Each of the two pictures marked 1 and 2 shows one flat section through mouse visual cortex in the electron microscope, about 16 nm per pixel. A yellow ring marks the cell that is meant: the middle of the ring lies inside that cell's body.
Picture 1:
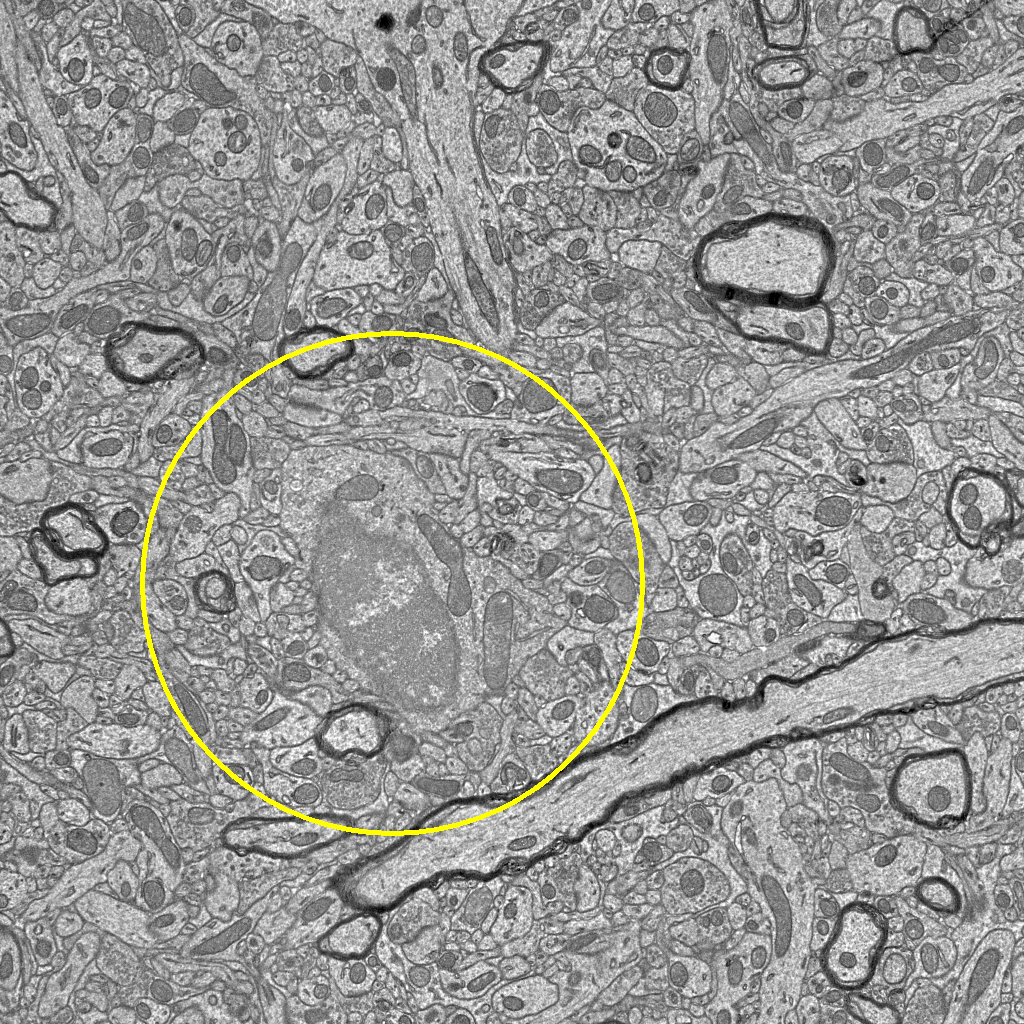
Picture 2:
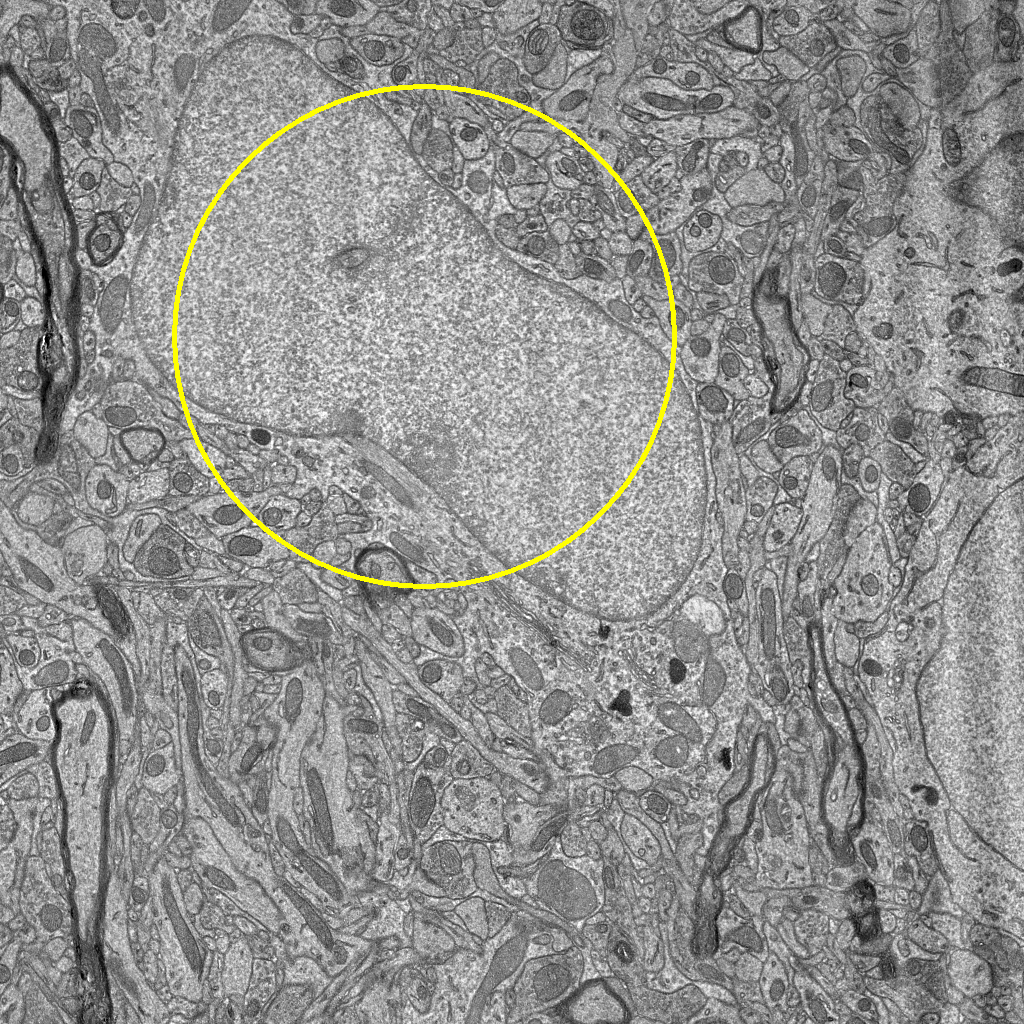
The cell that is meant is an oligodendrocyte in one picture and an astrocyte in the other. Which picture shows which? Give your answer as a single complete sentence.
The cell in picture 1 is an oligodendrocyte, and the one in picture 2 is an astrocyte.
